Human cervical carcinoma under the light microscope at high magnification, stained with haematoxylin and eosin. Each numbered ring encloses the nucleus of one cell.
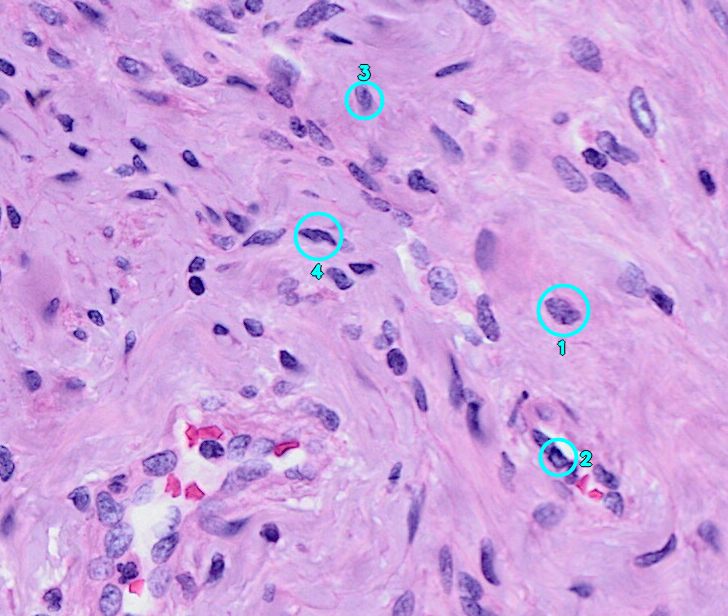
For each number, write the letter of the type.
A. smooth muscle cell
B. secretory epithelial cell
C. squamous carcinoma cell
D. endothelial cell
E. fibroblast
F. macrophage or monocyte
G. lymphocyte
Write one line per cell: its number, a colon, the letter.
1: E
2: D
3: E
4: E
